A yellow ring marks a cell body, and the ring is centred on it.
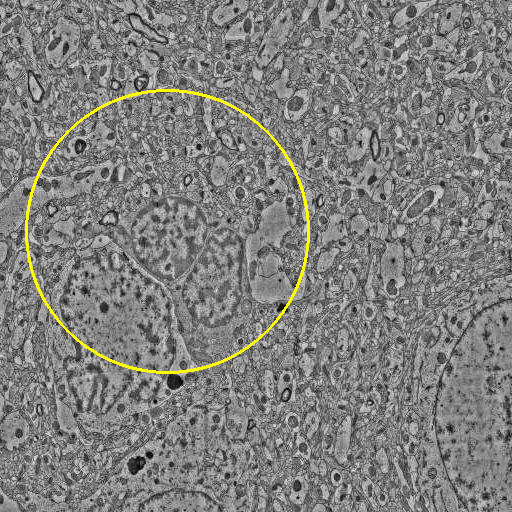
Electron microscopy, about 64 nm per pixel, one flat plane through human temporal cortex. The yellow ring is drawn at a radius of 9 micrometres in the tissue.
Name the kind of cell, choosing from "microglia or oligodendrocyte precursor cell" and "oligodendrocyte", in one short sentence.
The marked cell body belongs to an oligodendrocyte.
